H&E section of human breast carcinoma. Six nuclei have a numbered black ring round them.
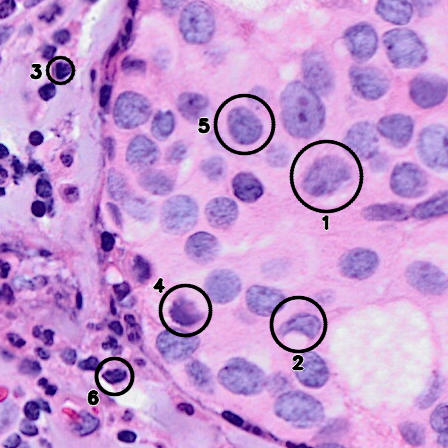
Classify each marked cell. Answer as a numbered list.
1. carcinoma cell
2. carcinoma cell
3. lymphocyte
4. carcinoma cell
5. carcinoma cell
6. lymphocyte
